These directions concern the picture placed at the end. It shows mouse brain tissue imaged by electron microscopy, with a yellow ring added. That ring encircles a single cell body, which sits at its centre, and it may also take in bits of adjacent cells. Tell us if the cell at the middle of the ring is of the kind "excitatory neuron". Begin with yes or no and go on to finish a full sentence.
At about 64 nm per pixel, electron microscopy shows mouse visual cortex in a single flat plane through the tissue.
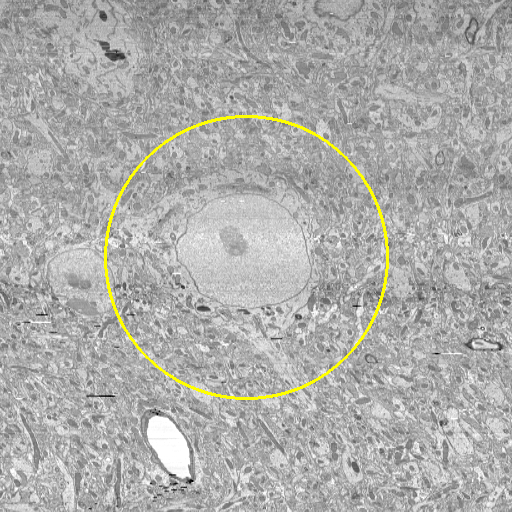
Yes, the cell sitting at the centre of the yellow ring in the picture is of that kind.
